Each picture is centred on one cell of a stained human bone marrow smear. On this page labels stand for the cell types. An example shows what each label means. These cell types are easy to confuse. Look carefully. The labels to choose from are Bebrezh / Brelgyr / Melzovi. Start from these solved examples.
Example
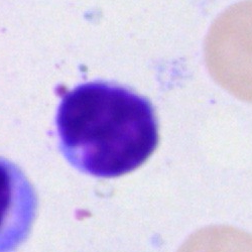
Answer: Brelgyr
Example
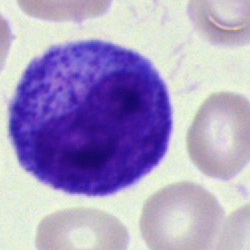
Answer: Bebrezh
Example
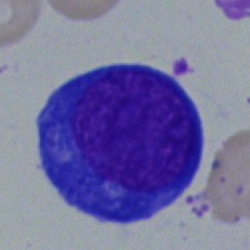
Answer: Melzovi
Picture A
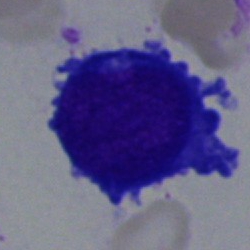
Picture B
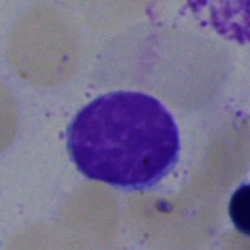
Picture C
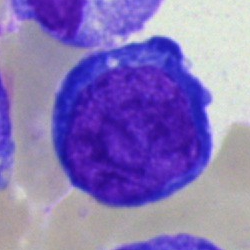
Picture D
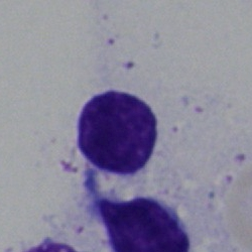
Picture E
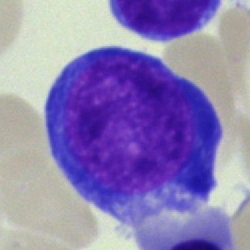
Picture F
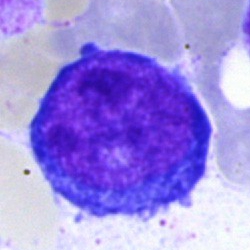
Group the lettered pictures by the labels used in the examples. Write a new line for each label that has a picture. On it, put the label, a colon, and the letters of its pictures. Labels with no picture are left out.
Brelgyr: B, D
Melzovi: A, C, E, F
